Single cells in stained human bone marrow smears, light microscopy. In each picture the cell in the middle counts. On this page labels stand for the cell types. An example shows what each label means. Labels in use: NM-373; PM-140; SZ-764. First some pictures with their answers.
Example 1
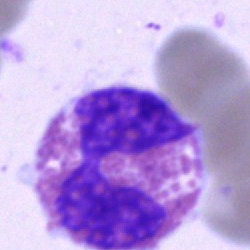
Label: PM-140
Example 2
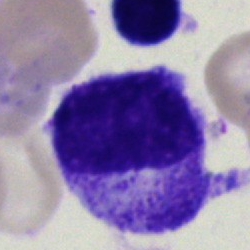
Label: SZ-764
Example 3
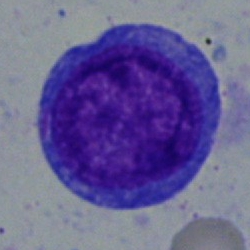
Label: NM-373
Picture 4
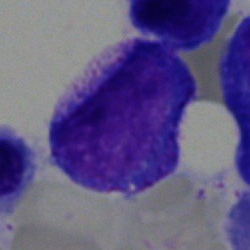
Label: SZ-764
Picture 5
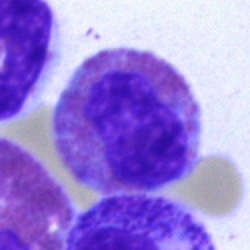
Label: PM-140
